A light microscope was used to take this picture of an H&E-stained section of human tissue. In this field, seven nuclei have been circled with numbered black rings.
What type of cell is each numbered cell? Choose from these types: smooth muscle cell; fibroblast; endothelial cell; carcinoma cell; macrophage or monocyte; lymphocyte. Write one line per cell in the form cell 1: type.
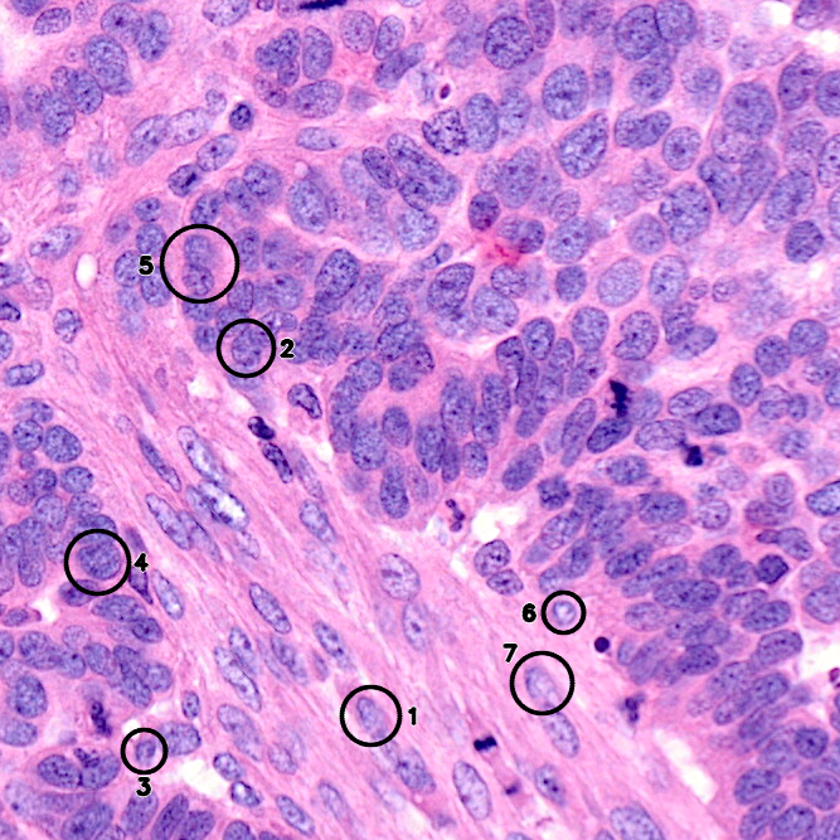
cell 1: fibroblast
cell 2: carcinoma cell
cell 3: macrophage or monocyte
cell 4: carcinoma cell
cell 5: carcinoma cell
cell 6: fibroblast
cell 7: fibroblast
